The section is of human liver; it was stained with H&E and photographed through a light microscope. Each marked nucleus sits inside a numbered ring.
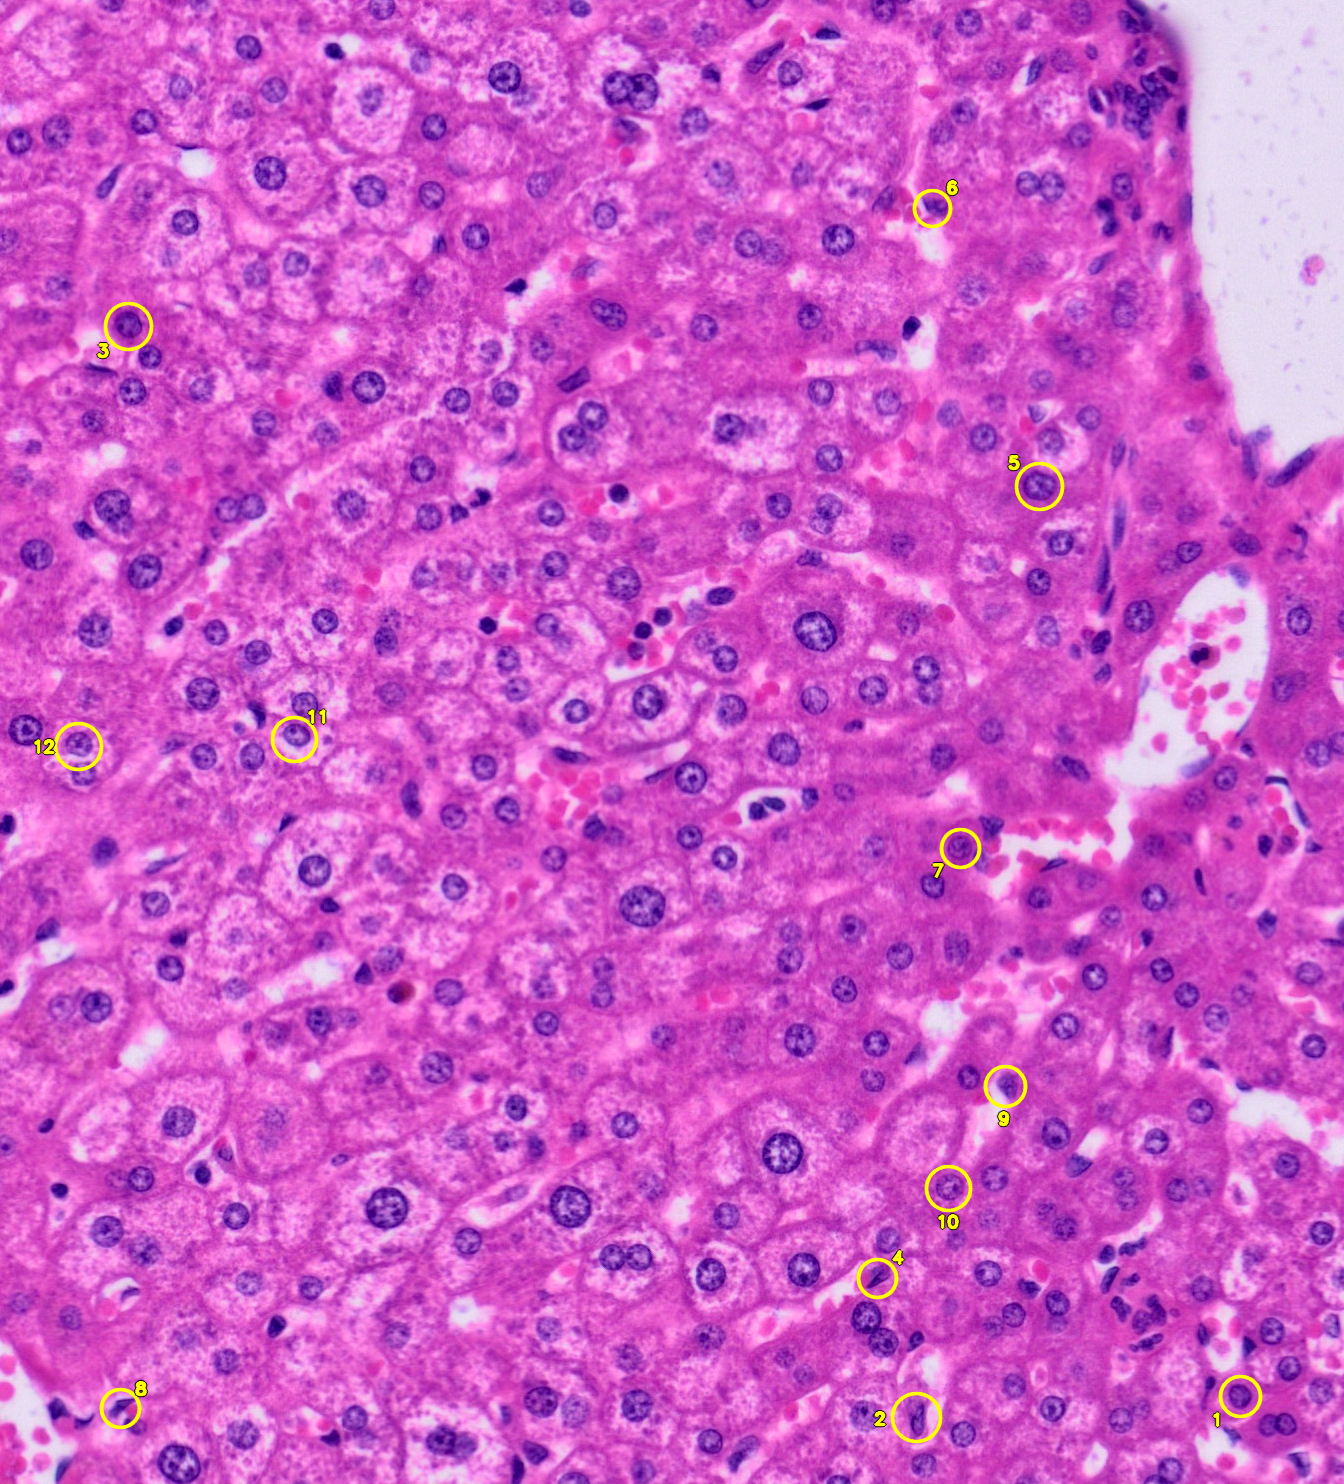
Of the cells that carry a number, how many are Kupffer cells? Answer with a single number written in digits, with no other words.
1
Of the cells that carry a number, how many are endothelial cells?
4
